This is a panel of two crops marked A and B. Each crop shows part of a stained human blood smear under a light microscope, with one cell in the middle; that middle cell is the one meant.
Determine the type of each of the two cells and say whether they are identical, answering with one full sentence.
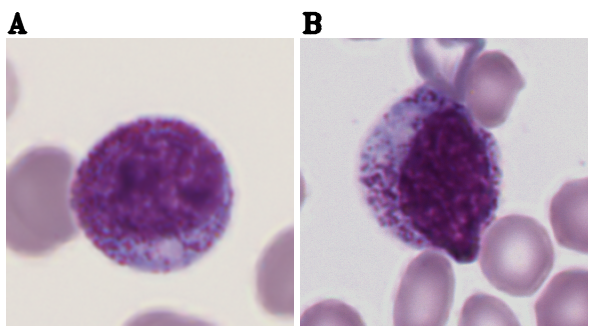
No, crop A has a promyelocyte in the middle, and crop B has a myelocyte.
